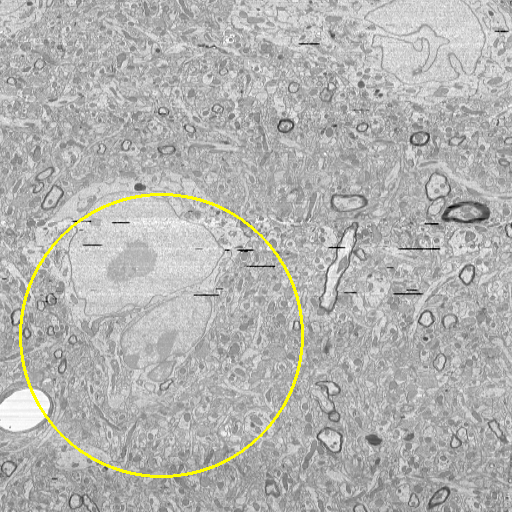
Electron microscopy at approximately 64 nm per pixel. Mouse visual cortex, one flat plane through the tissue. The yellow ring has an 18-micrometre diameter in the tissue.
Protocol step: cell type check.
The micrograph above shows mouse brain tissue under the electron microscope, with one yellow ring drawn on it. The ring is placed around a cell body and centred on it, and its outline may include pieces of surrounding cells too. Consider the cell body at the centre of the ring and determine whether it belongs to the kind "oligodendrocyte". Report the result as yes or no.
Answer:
no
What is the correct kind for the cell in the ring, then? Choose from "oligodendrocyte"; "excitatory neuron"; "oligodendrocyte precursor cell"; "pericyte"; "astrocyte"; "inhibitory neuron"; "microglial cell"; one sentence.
That cell in the ring is an oligodendrocyte precursor cell instead.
